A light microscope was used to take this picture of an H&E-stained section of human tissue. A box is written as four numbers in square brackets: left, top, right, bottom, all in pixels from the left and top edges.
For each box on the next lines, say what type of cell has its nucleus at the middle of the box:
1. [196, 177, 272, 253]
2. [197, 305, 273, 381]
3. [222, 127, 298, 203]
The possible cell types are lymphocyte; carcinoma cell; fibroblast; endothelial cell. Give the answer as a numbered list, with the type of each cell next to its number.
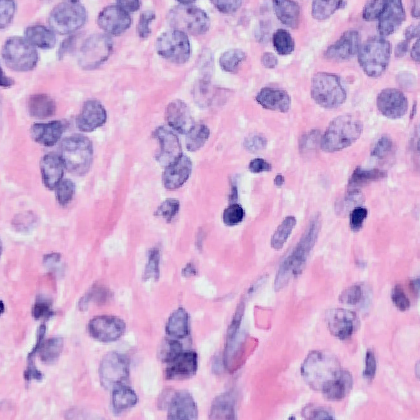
1. lymphocyte
2. endothelial cell
3. lymphocyte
